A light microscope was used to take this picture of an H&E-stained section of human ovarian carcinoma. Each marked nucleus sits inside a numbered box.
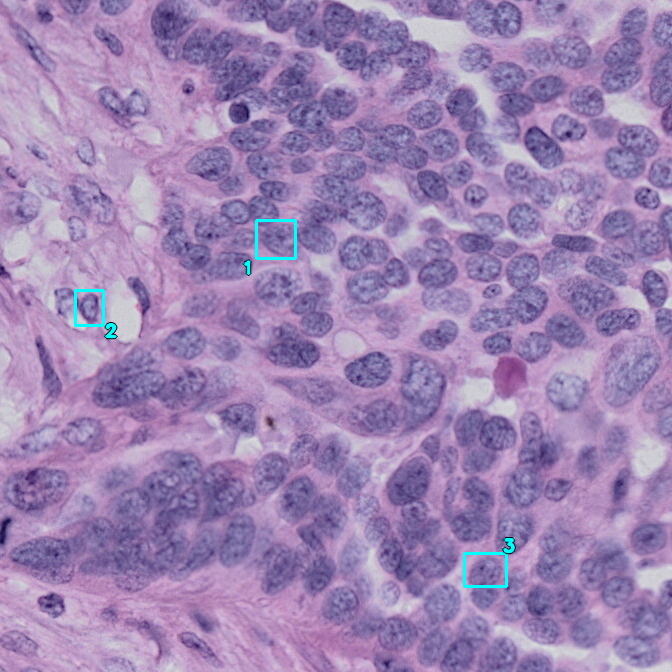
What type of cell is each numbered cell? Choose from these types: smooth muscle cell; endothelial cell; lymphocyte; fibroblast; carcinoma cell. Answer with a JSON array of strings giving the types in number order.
["carcinoma cell", "fibroblast", "carcinoma cell"]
